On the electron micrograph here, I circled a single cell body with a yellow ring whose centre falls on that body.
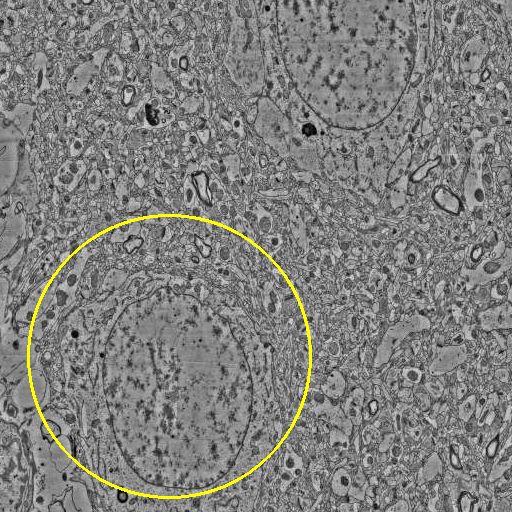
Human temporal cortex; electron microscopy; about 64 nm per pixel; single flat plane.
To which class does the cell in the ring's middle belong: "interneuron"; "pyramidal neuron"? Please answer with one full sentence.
In this picture, the cell body circled at the ring's centre belongs to a pyramidal neuron.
